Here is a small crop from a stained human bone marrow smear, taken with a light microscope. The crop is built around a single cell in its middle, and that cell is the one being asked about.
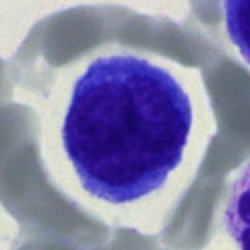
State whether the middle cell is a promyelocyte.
no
